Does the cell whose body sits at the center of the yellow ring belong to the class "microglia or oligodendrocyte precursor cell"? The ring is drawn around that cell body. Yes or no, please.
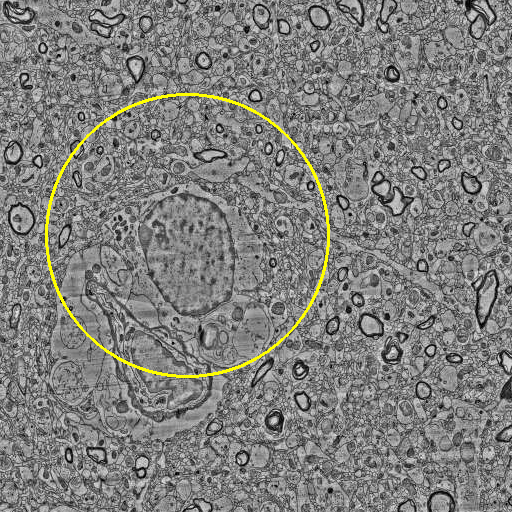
Yes, it belongs to that class.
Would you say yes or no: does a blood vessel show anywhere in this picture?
Yes, a blood vessel shows in the picture.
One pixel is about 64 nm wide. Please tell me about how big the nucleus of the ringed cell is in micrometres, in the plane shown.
The nucleus has a long axis of about 8 micrometres and a short axis of about 6 micrometres in this plane.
